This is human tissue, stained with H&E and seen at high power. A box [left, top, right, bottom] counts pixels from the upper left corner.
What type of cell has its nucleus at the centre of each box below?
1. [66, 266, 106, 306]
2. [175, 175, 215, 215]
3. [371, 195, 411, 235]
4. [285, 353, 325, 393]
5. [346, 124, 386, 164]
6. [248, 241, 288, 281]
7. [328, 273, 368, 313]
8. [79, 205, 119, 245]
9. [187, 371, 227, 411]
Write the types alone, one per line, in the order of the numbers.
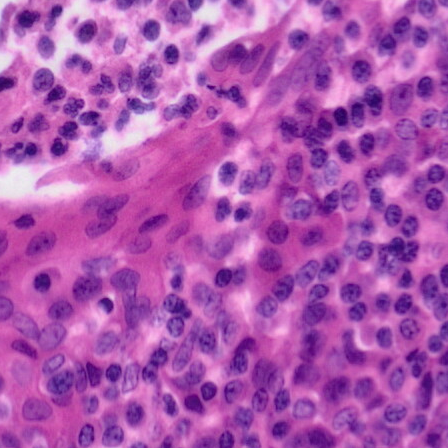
squamous epithelial cell
squamous epithelial cell
plasma cell
squamous epithelial cell
plasma cell
squamous epithelial cell
plasma cell
squamous epithelial cell
plasma cell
